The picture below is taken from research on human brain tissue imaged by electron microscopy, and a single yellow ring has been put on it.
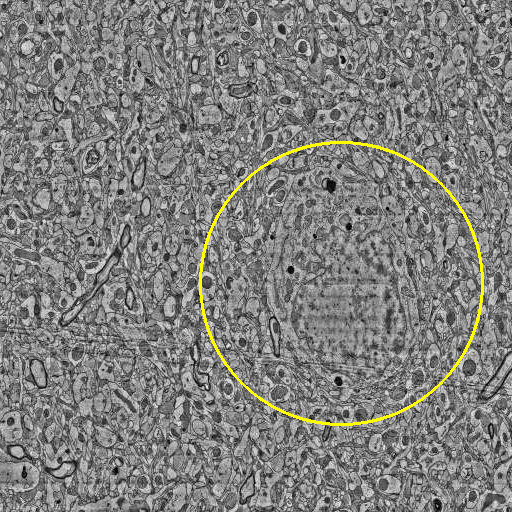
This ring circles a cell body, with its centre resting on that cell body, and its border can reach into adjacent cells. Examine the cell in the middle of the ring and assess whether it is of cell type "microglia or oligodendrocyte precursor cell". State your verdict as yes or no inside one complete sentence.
No, in the picture, the cell lying at the centre of the ring is of a different type.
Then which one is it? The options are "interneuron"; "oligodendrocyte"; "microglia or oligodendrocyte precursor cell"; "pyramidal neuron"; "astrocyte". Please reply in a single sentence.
The cell at the middle of the ring is an interneuron.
